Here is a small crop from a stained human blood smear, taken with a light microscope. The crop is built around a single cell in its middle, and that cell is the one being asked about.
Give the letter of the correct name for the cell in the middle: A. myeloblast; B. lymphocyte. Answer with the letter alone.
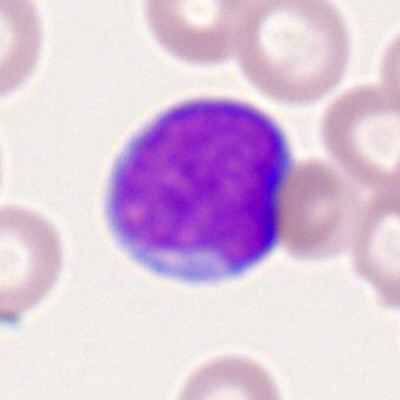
A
